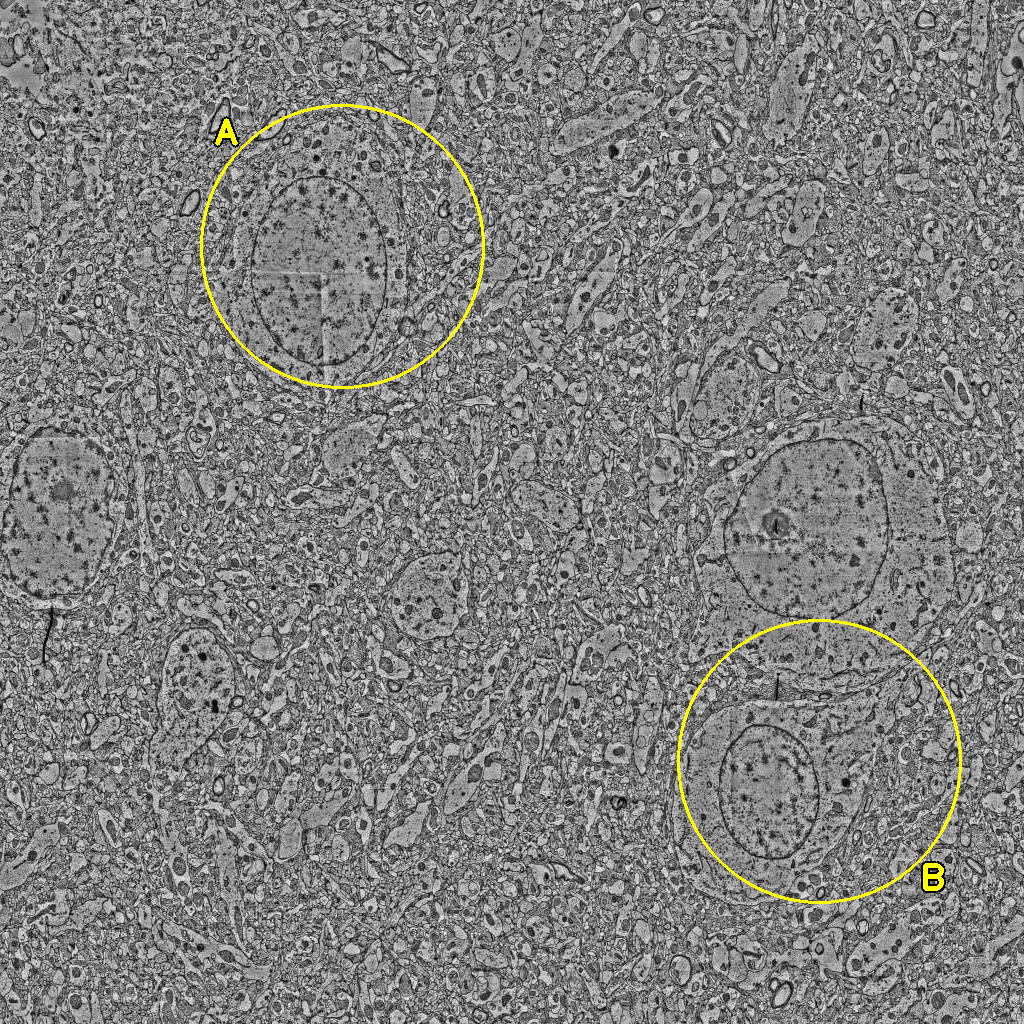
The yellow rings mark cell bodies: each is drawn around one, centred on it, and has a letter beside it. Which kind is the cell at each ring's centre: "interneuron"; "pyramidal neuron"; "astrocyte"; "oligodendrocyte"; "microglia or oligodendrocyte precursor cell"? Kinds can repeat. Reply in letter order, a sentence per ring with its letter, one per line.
At the centre of ring A lies a pyramidal neuron.
At the centre of ring B lies a pyramidal neuron.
